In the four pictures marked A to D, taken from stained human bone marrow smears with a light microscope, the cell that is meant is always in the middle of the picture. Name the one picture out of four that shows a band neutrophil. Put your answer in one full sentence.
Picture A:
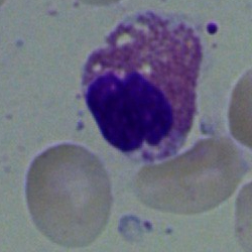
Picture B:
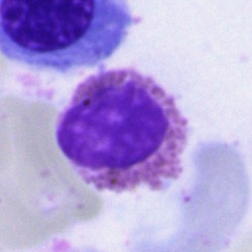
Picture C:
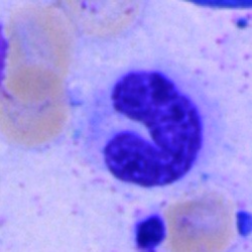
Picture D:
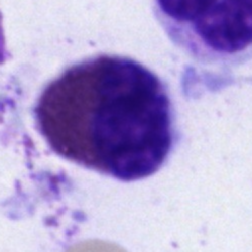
The band neutrophil is the one in picture C.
